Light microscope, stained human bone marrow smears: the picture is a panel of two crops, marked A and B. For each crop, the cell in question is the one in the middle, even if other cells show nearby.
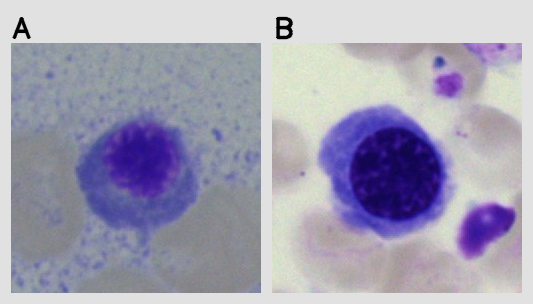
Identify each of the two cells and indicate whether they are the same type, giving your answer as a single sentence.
Yes, both of the crops show erythroblasts.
